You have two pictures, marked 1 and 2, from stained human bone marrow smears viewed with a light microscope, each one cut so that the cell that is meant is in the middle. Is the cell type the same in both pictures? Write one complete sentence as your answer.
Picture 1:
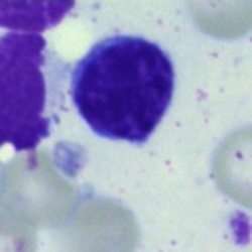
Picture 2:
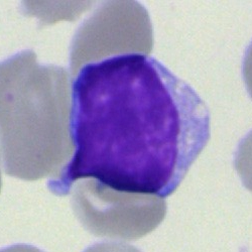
Yes, both are lymphocytes.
